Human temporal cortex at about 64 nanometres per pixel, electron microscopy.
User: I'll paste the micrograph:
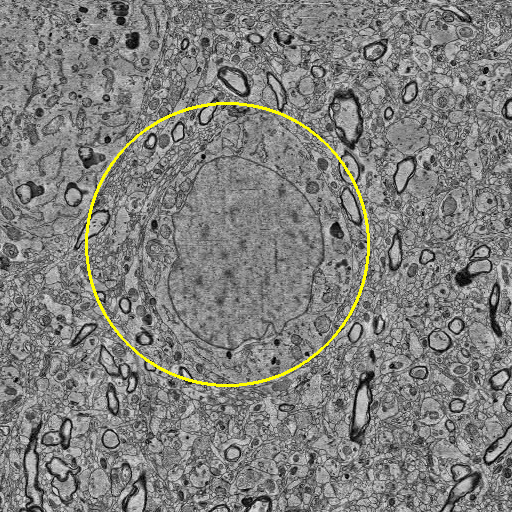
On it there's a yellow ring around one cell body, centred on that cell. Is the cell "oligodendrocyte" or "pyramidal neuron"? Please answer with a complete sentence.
The cell ringed in yellow is a pyramidal neuron.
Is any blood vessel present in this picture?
No.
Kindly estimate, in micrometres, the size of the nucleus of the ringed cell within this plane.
The nucleus works out at approximately 13 by 10 micrometres in this plane.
